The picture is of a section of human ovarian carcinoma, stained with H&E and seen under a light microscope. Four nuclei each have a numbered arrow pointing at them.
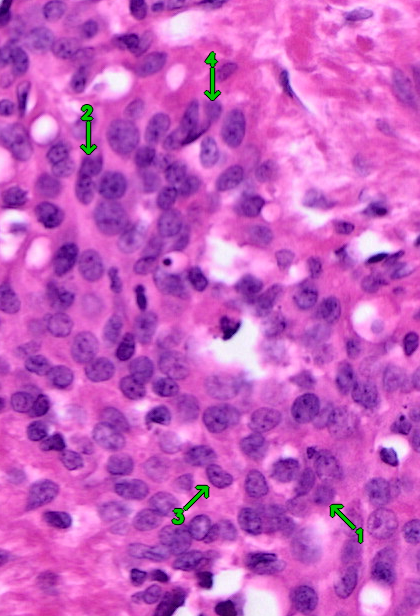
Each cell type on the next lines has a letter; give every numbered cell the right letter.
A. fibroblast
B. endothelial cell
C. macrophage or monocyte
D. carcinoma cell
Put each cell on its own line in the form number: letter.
1: D
2: D
3: C
4: D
